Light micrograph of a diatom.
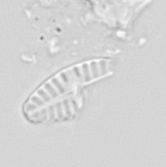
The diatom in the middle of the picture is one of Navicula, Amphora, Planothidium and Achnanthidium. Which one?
Planothidium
